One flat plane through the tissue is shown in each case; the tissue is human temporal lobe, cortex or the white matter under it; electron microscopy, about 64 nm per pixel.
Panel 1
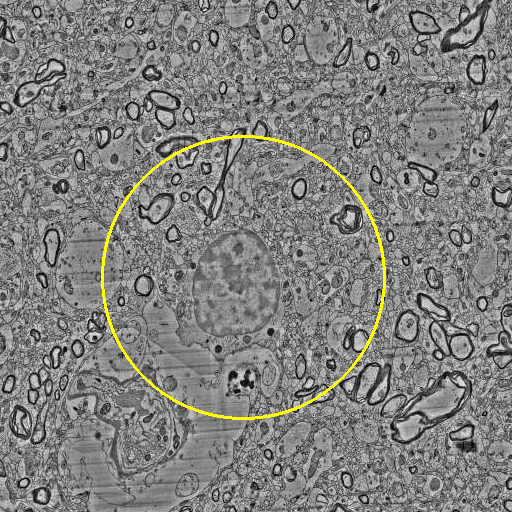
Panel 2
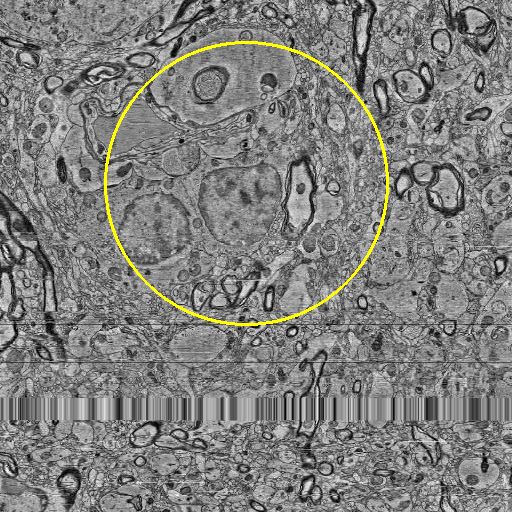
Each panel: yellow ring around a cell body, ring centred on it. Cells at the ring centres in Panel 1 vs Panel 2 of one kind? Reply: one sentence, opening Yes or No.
Yes, Panel 1 and Panel 2 have cells of one kind at the ring centres.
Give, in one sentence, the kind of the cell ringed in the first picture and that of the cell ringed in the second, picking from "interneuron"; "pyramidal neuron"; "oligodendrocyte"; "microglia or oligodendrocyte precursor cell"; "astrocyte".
The second cell is an oligodendrocyte, just as the first is.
